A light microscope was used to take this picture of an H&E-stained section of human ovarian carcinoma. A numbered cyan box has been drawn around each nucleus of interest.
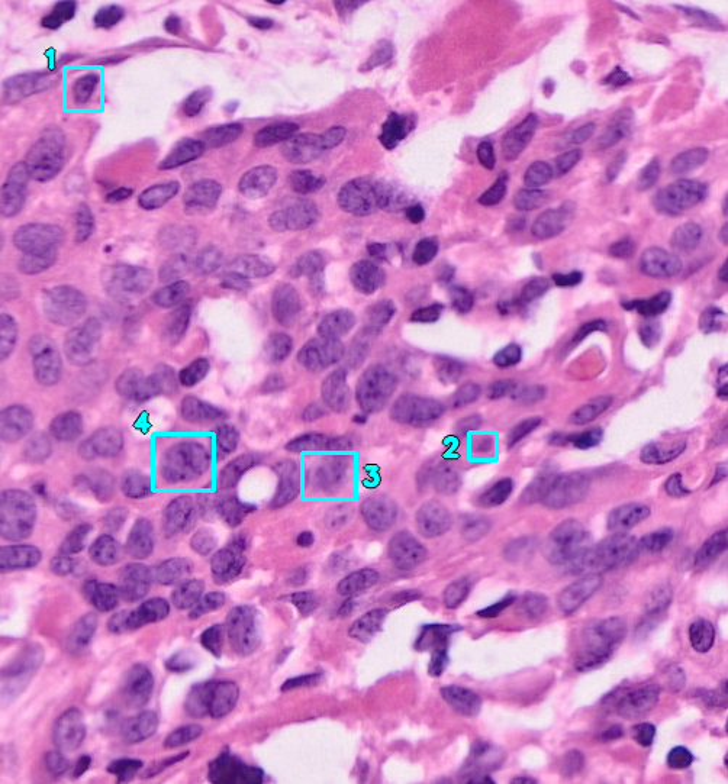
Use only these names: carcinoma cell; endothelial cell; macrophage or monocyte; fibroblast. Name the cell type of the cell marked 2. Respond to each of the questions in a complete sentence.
The cell that goes by number 2 is a macrophage or monocyte.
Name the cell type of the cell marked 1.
Here, the cell given the number 1 is a macrophage or monocyte.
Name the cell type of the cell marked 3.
Recognised here as a carcinoma cell is the cell numbered 3.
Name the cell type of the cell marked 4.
Cell 4, among those numbered, is a carcinoma cell.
